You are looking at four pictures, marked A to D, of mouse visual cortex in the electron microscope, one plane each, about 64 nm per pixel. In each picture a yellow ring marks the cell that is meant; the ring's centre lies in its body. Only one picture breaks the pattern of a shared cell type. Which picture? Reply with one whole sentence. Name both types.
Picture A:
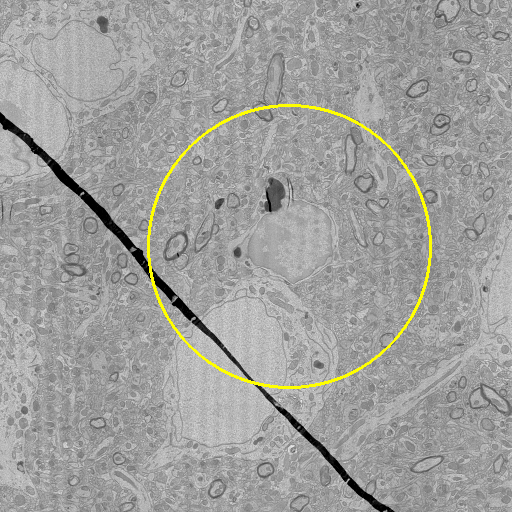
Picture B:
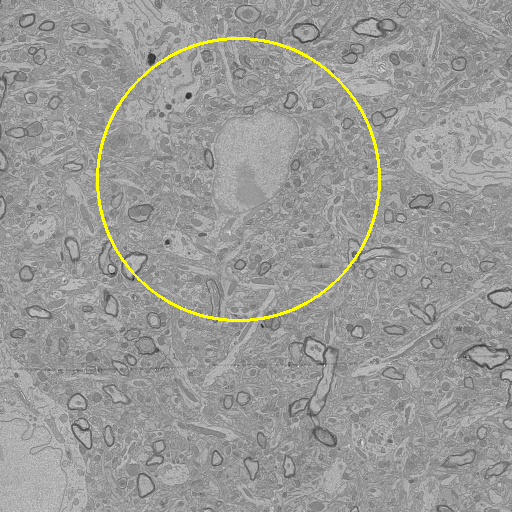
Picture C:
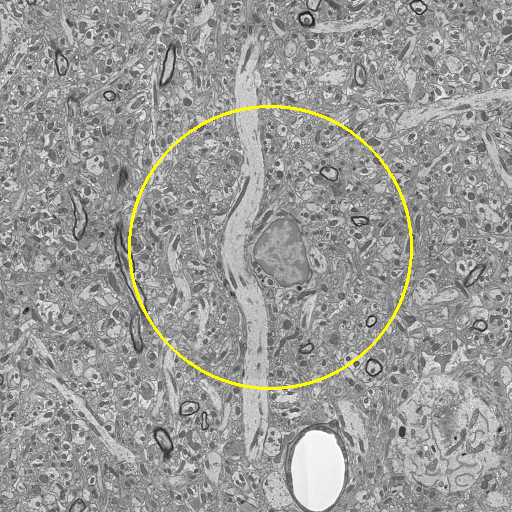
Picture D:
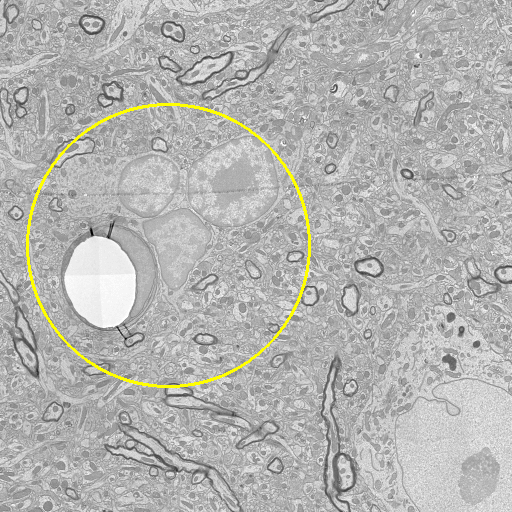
The others show microglial cells, but picture B shows an astrocyte.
